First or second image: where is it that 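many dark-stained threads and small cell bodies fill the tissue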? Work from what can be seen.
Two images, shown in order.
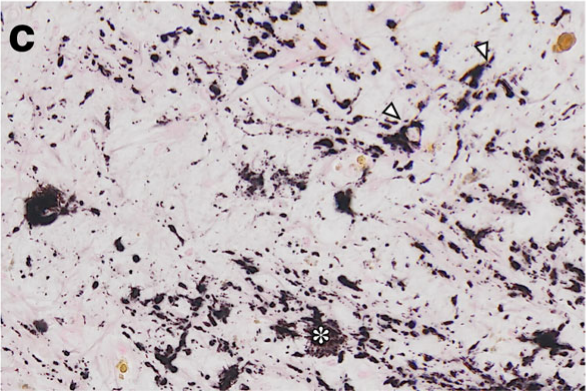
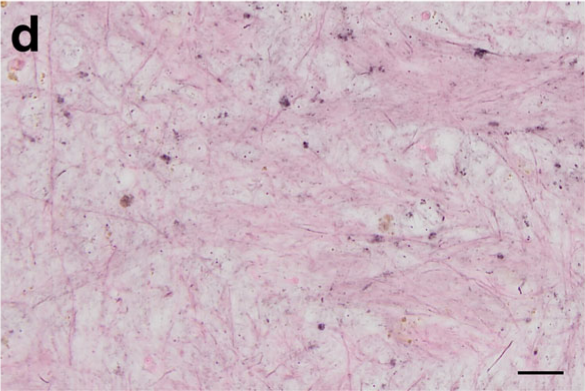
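First image: dense black threads and dark small cell bodies throughout. That points to this answer: the first image.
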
